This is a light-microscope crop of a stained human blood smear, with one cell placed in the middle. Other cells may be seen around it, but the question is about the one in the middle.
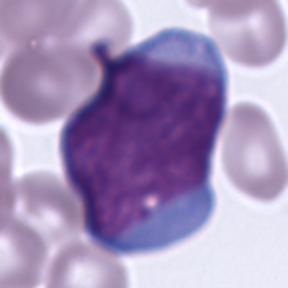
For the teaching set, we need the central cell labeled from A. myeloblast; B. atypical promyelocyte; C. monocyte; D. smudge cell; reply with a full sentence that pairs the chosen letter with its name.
Option A stands as correct, the central cell being a myeloblast.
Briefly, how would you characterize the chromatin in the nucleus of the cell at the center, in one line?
In this cell the chromatin is fine rather than coarsely clumped.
